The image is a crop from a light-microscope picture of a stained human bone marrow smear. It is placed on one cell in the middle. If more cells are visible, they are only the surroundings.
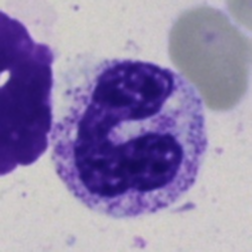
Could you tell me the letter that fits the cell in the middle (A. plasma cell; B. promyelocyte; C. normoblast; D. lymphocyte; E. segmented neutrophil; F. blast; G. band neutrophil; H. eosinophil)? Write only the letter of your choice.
G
